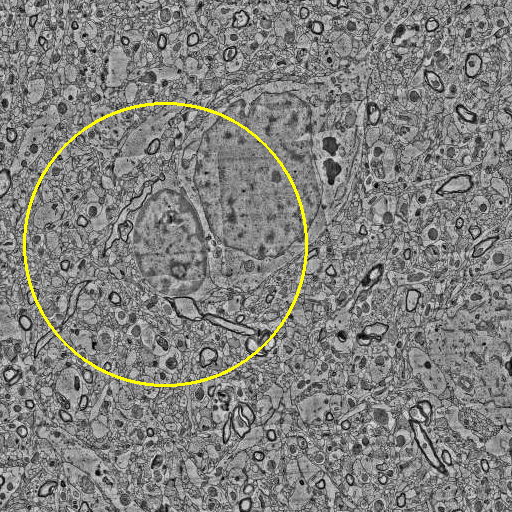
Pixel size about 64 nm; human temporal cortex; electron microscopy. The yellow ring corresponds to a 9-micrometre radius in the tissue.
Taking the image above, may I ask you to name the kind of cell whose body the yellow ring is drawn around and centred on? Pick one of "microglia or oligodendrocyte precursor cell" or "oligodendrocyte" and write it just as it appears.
oligodendrocyte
